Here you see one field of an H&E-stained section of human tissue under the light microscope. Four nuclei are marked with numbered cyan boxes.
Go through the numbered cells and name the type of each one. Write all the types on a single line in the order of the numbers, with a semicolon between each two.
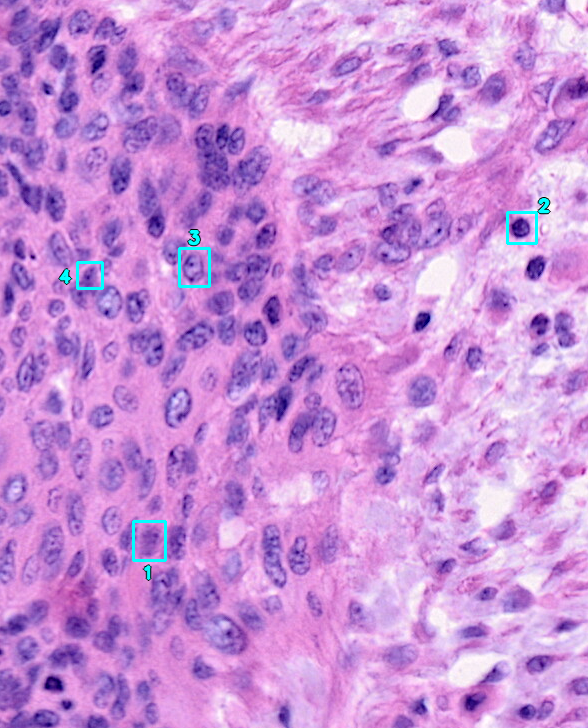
squamous carcinoma cell; lymphocyte; squamous carcinoma cell; squamous carcinoma cell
